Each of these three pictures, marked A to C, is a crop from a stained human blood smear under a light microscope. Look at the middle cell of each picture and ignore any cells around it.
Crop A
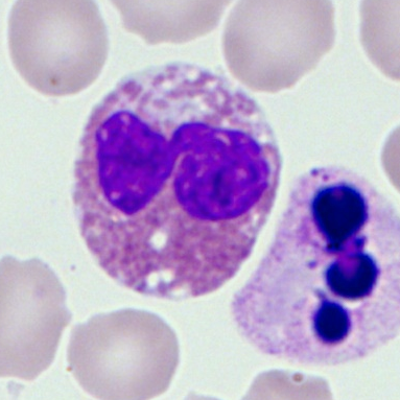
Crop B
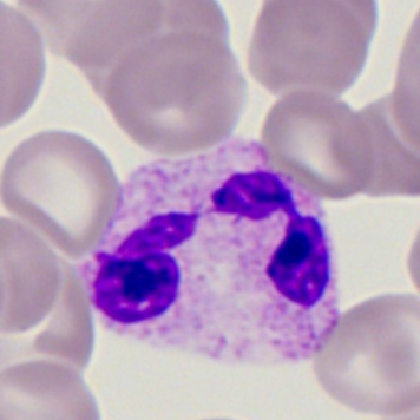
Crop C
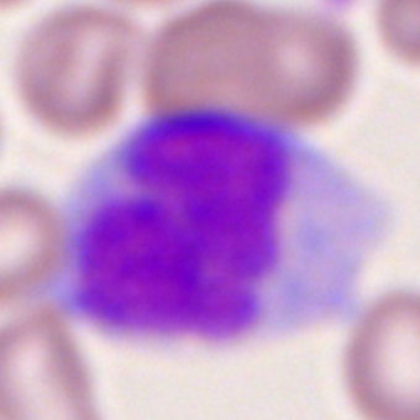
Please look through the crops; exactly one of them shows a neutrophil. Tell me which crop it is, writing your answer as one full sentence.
Crop B is the one that shows a neutrophil.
